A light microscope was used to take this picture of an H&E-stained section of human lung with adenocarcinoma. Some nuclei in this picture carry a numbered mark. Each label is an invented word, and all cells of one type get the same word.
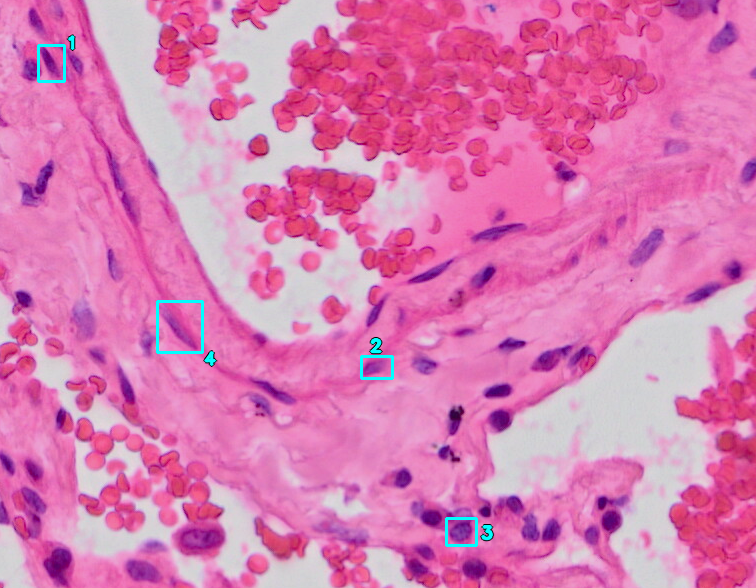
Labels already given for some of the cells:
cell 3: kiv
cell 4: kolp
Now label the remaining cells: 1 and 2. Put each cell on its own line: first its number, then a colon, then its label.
1: kolp
2: kolp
